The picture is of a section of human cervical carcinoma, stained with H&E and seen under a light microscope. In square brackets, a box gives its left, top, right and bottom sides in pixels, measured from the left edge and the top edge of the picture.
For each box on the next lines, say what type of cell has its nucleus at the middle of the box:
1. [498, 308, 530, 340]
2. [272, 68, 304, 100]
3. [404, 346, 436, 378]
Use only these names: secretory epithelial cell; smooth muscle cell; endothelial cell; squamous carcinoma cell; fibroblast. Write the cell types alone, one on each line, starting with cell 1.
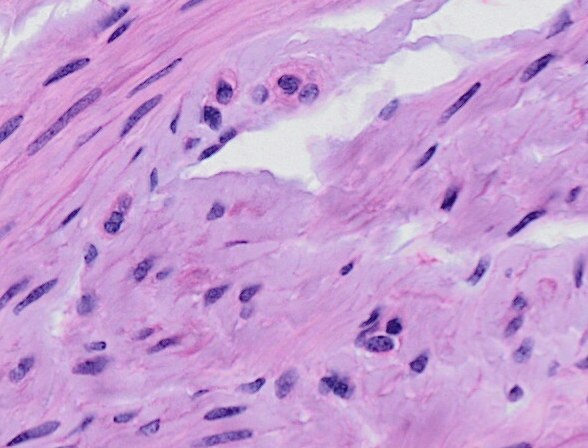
smooth muscle cell
endothelial cell
fibroblast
